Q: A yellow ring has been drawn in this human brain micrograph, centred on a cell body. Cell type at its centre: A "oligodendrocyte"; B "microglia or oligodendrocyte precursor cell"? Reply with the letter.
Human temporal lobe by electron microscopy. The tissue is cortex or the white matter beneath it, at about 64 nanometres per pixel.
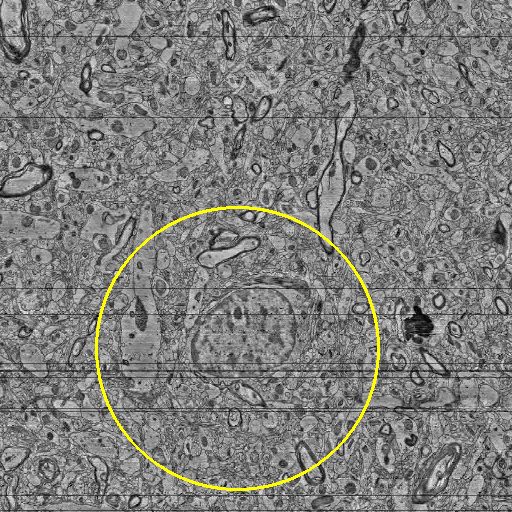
A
